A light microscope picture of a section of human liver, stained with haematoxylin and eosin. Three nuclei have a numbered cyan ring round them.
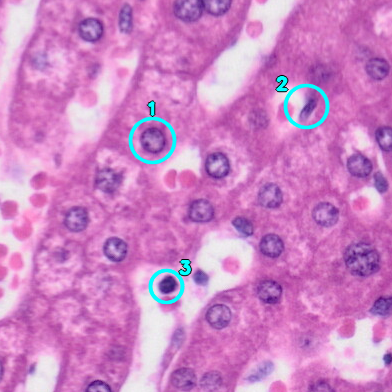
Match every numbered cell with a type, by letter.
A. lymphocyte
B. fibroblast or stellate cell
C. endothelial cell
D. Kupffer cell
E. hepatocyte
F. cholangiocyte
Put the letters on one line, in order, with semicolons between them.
E; C; A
